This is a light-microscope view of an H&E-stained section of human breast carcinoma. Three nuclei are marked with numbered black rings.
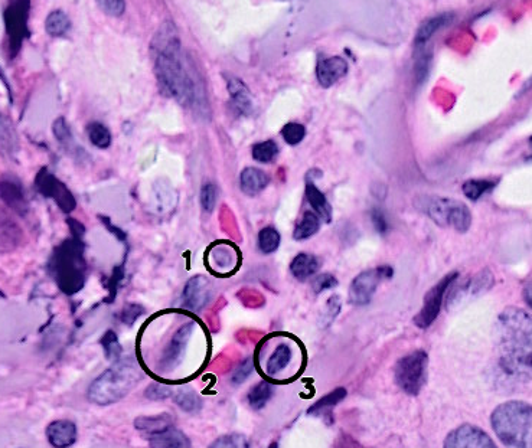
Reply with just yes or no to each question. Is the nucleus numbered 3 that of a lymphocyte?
yes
